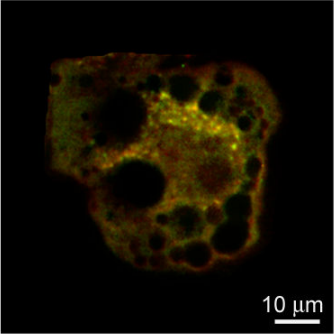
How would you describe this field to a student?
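This is a single cultured adipocyte seen in merged green and red fluorescence. Its cytoplasm is riddled with round dark holes of very different sizes, the unstained lipid droplets, some large and many small. A rounded, dimmer nucleus sits roughly in the middle among them. Fine yellow puncta, where green and red overlap, crowd in the cytoplasm around the nucleus, while the rest of the cytoplasm glows a diffuse yellow-orange.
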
